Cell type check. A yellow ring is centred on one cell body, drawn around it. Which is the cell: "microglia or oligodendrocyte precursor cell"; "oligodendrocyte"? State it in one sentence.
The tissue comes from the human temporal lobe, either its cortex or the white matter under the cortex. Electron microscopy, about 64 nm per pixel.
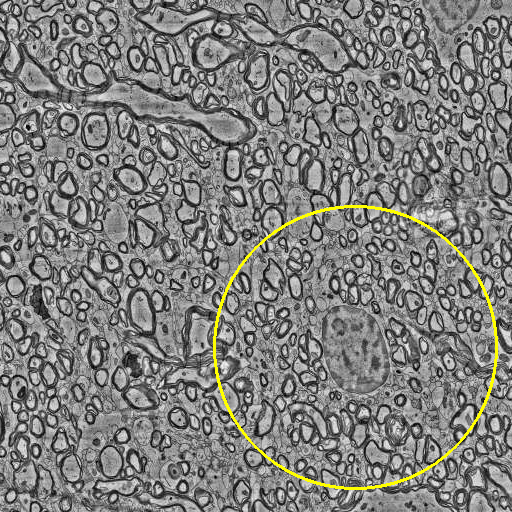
The cell body at the ring's centre belongs to a microglial cell or oligodendrocyte precursor cell.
